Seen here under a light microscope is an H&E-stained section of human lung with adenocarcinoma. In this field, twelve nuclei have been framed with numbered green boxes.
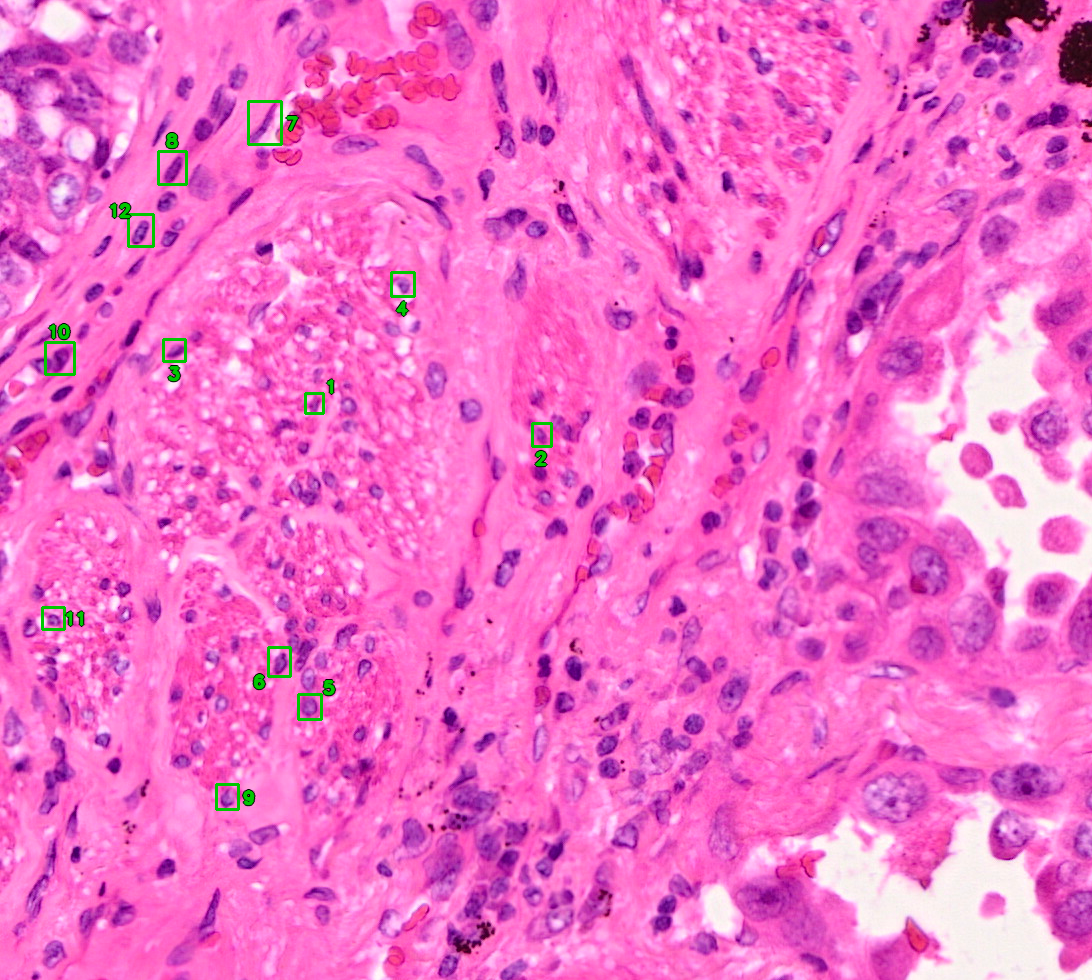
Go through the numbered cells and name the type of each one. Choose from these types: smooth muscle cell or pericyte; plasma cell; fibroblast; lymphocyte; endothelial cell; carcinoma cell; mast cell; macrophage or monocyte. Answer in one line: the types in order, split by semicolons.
smooth muscle cell or pericyte; smooth muscle cell or pericyte; smooth muscle cell or pericyte; smooth muscle cell or pericyte; smooth muscle cell or pericyte; mast cell; endothelial cell; plasma cell; smooth muscle cell or pericyte; plasma cell; smooth muscle cell or pericyte; mast cell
